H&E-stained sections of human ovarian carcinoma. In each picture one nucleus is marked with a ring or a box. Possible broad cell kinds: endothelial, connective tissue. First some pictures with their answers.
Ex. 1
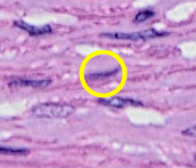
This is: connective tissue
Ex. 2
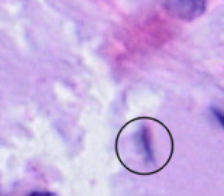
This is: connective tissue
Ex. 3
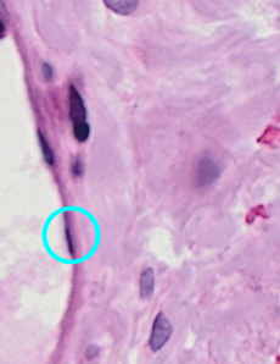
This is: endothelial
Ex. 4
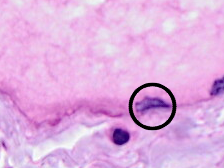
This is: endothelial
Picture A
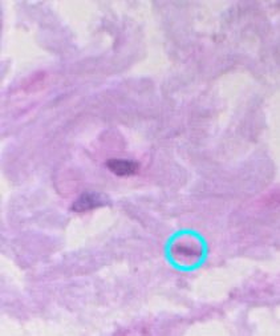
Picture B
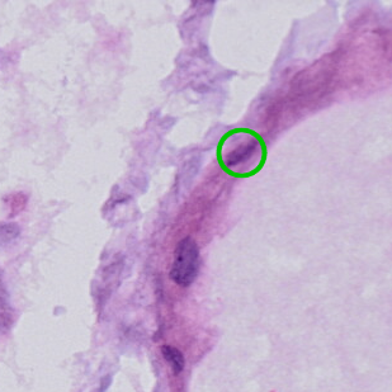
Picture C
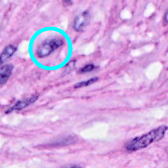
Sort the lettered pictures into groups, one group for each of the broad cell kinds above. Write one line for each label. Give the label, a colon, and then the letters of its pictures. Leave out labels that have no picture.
endothelial: B
connective tissue: A, C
